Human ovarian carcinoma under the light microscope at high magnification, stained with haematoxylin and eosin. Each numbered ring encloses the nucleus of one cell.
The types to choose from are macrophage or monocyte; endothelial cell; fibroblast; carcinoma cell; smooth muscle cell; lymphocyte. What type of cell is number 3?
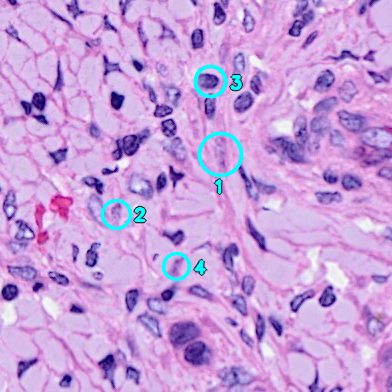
lymphocyte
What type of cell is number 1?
fibroblast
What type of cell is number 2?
fibroblast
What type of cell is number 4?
fibroblast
